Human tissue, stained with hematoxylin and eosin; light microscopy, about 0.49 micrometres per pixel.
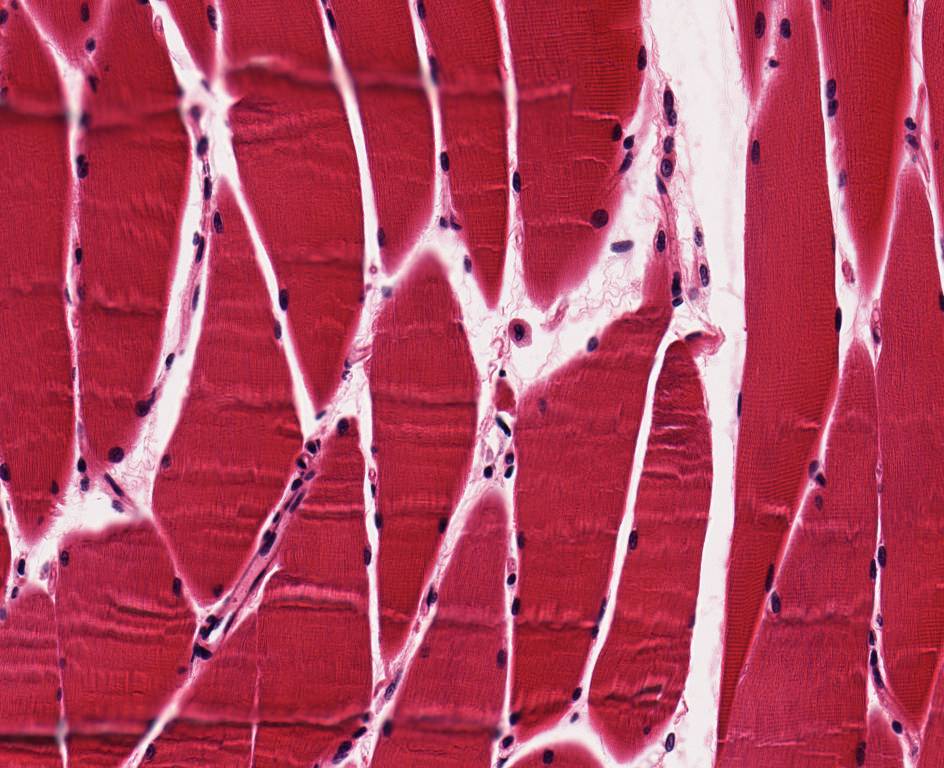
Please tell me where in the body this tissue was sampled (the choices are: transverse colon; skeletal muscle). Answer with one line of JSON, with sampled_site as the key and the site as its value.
{"sampled_site": "skeletal muscle"}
